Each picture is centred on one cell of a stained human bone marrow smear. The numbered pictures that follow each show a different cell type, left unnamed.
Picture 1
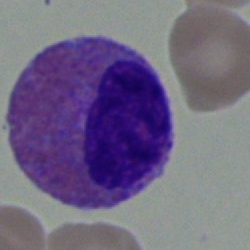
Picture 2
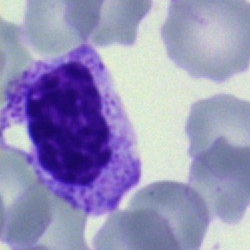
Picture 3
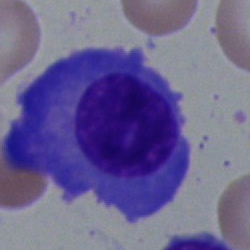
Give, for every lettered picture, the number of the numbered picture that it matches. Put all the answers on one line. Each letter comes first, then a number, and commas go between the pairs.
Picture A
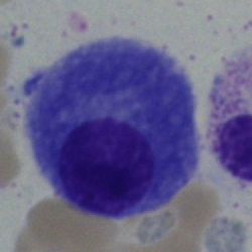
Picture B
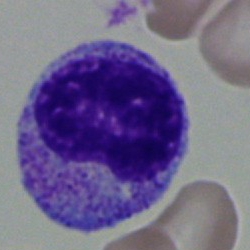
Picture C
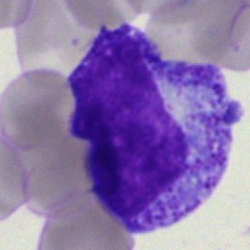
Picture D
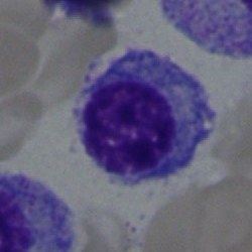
A 3, B 2, C 2, D 3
